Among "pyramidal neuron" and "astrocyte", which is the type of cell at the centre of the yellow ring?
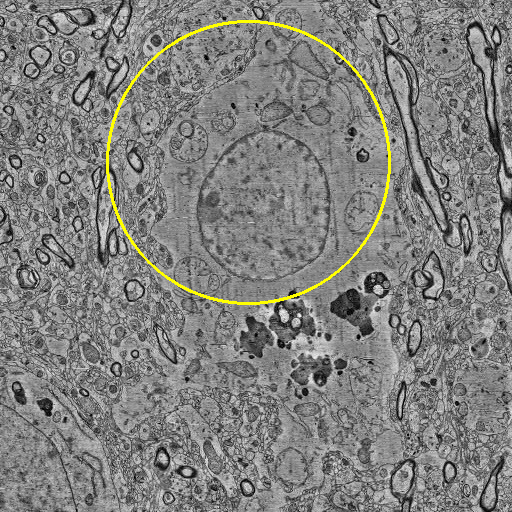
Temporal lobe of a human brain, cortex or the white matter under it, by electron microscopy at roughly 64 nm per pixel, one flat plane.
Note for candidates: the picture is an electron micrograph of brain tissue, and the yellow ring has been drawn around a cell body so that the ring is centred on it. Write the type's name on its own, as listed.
astrocyte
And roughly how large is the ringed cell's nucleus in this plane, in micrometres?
In this plane, about 10 micrometres in length and 8 in width.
